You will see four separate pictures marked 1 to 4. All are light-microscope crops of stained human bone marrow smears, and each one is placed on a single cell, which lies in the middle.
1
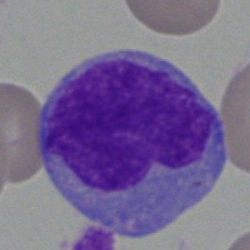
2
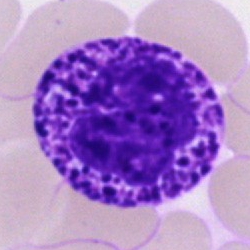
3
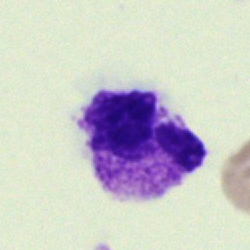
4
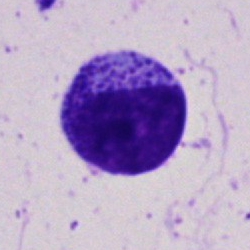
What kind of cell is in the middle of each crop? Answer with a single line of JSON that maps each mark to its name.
{"1": "monocyte", "2": "basophil", "3": "segmented neutrophil", "4": "metamyelocyte"}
